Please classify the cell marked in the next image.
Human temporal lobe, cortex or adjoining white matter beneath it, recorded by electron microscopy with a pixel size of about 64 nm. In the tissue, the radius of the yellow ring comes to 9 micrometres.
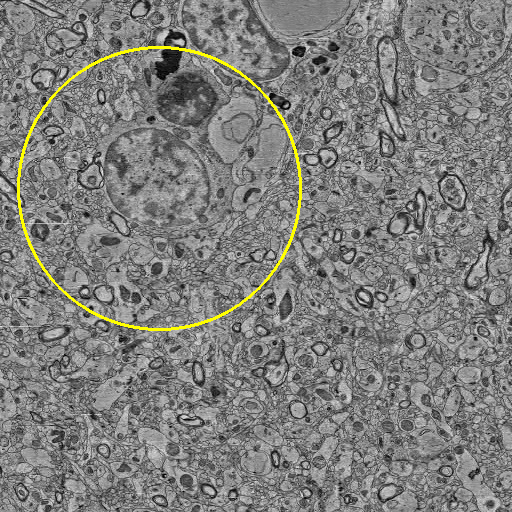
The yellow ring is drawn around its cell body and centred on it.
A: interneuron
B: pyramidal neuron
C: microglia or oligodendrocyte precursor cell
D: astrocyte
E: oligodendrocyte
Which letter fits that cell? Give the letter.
E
